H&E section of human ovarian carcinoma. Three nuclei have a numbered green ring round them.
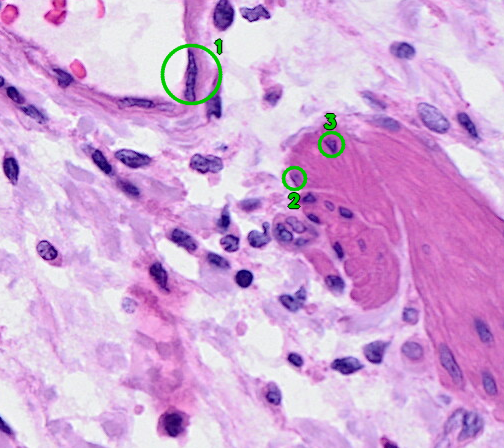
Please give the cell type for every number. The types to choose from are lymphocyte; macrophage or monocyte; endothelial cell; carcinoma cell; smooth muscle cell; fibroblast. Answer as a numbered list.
1. endothelial cell
2. smooth muscle cell
3. smooth muscle cell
